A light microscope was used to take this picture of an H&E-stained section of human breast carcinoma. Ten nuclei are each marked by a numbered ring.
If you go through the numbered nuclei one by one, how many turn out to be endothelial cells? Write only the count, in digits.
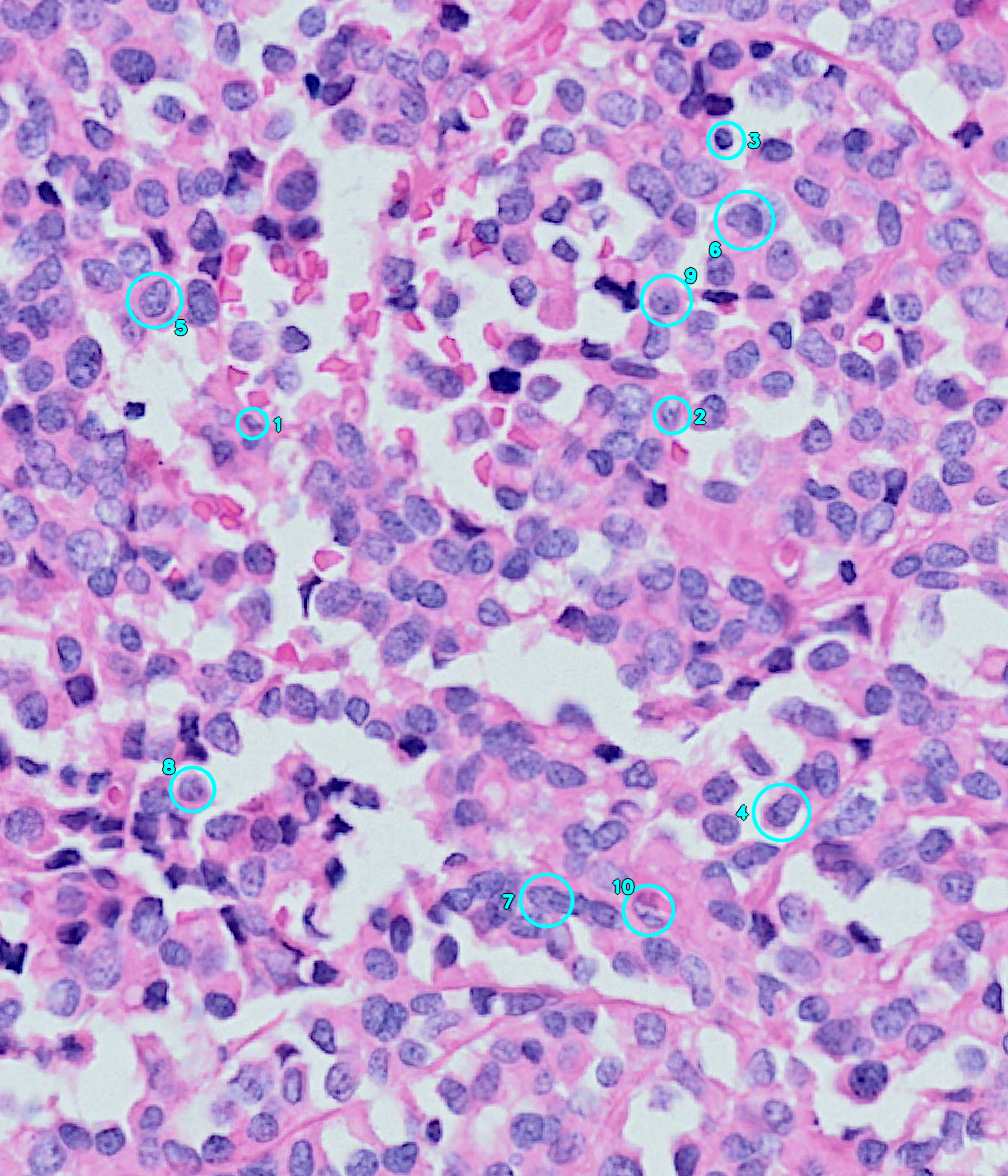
3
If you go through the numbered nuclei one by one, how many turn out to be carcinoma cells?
6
